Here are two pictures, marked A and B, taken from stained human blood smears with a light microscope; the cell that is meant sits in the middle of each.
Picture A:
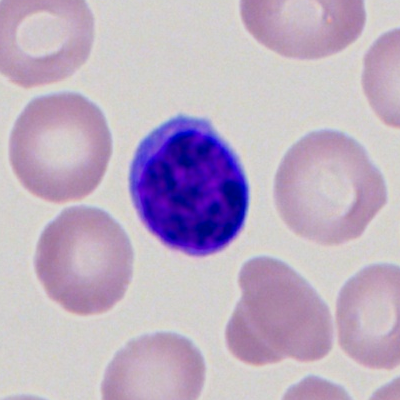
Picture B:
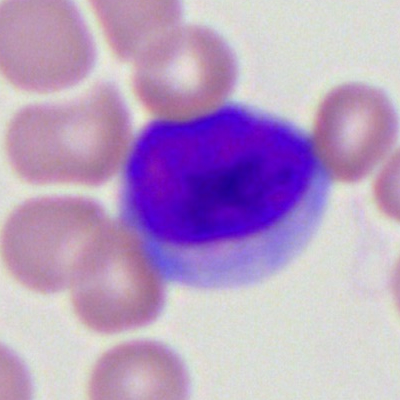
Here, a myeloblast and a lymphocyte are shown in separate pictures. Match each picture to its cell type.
A: lymphocyte
B: myeloblast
